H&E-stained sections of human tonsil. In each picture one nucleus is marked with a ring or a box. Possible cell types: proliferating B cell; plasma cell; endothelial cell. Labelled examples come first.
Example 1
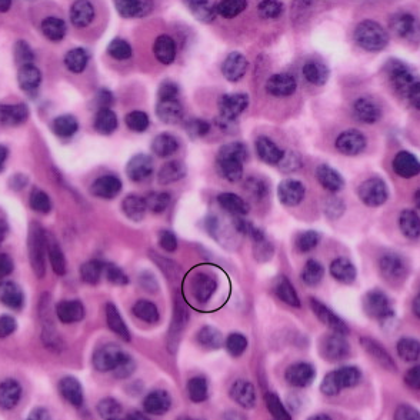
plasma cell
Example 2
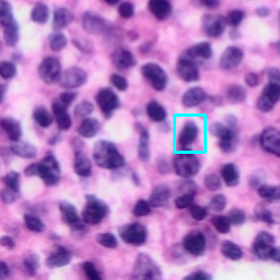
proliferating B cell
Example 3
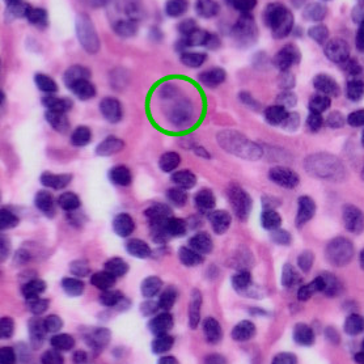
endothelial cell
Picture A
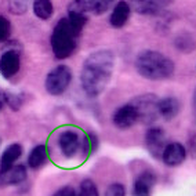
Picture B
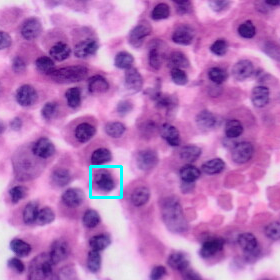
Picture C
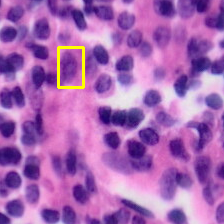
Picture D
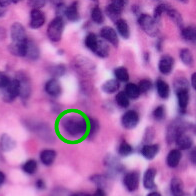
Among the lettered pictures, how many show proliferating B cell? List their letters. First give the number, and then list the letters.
0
